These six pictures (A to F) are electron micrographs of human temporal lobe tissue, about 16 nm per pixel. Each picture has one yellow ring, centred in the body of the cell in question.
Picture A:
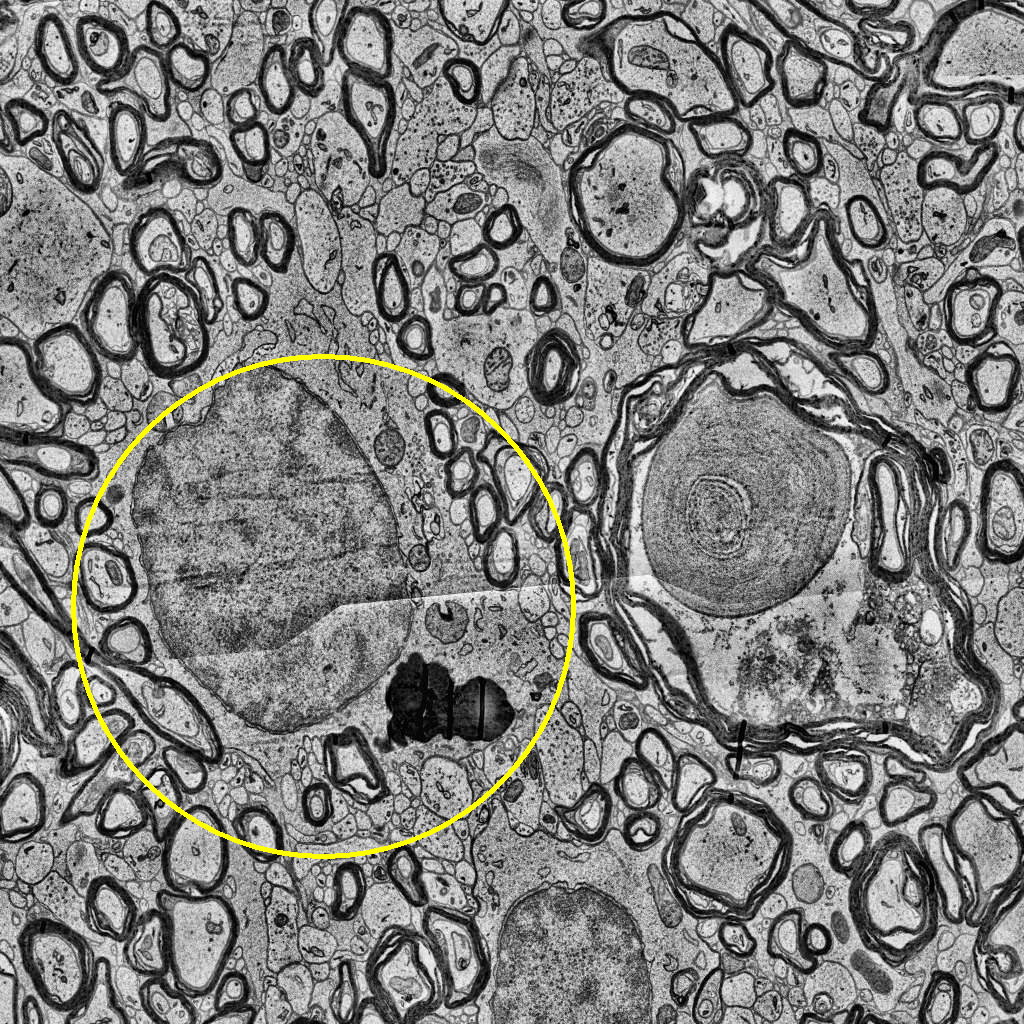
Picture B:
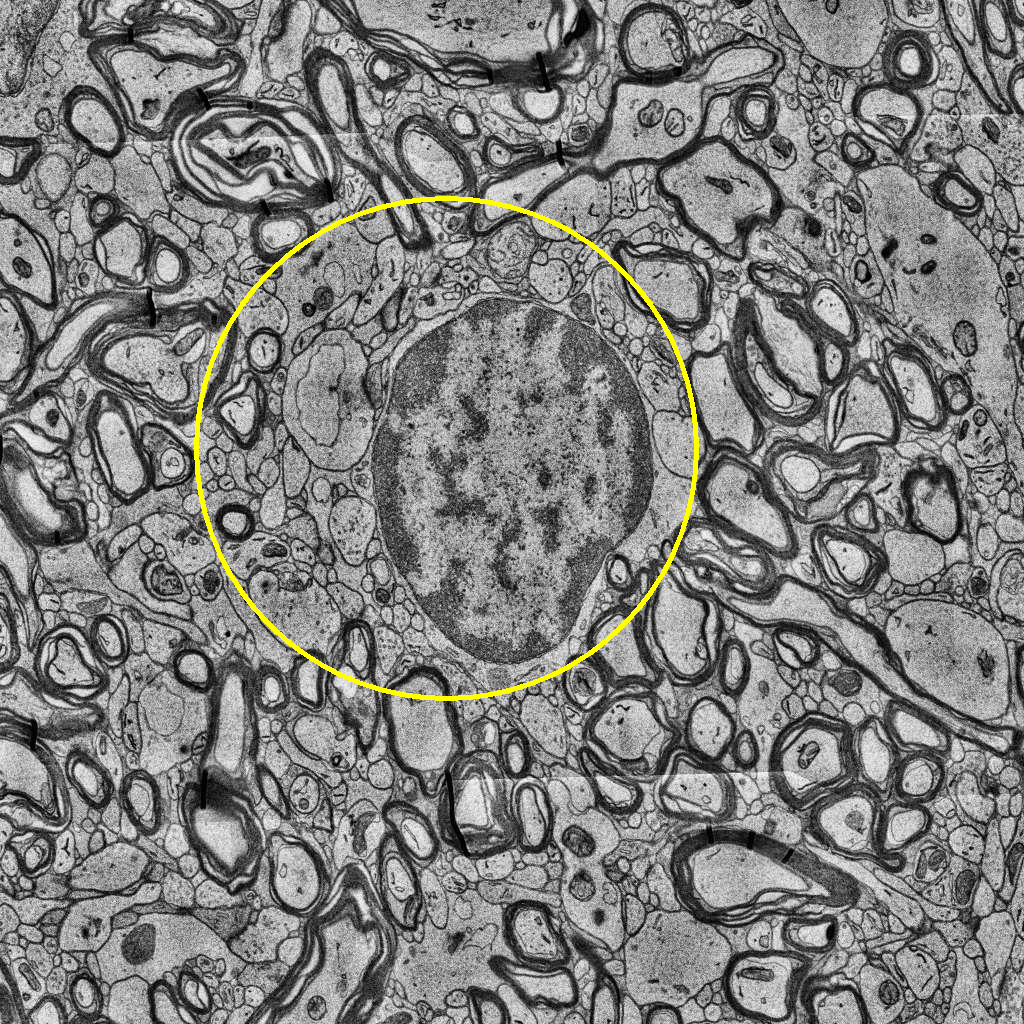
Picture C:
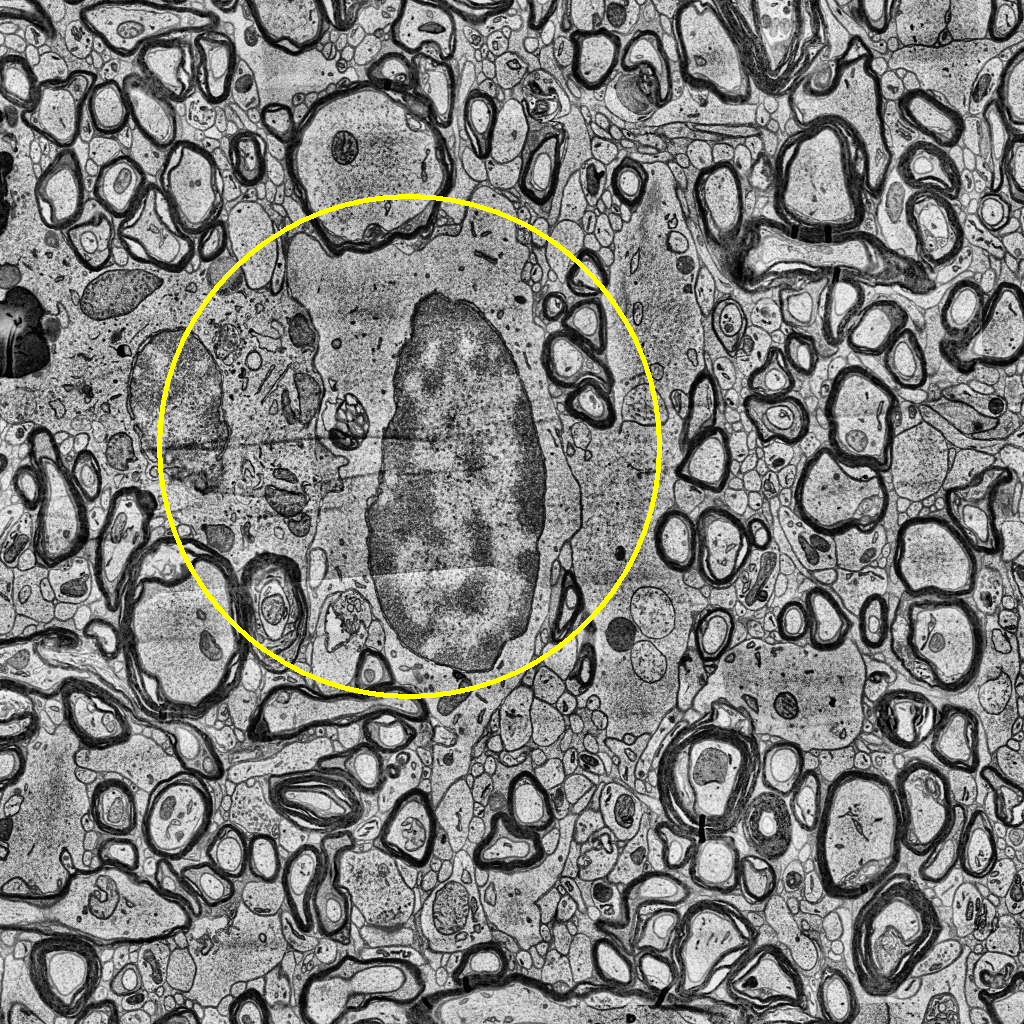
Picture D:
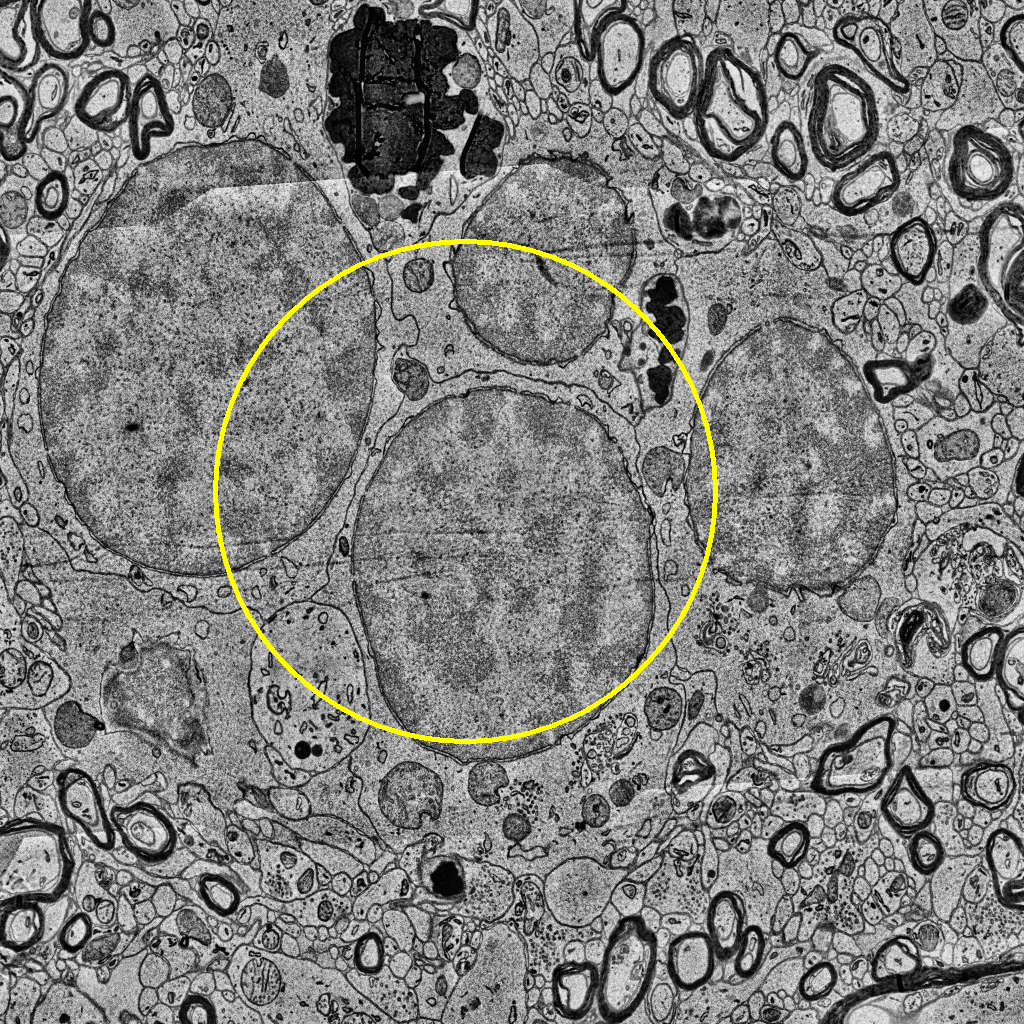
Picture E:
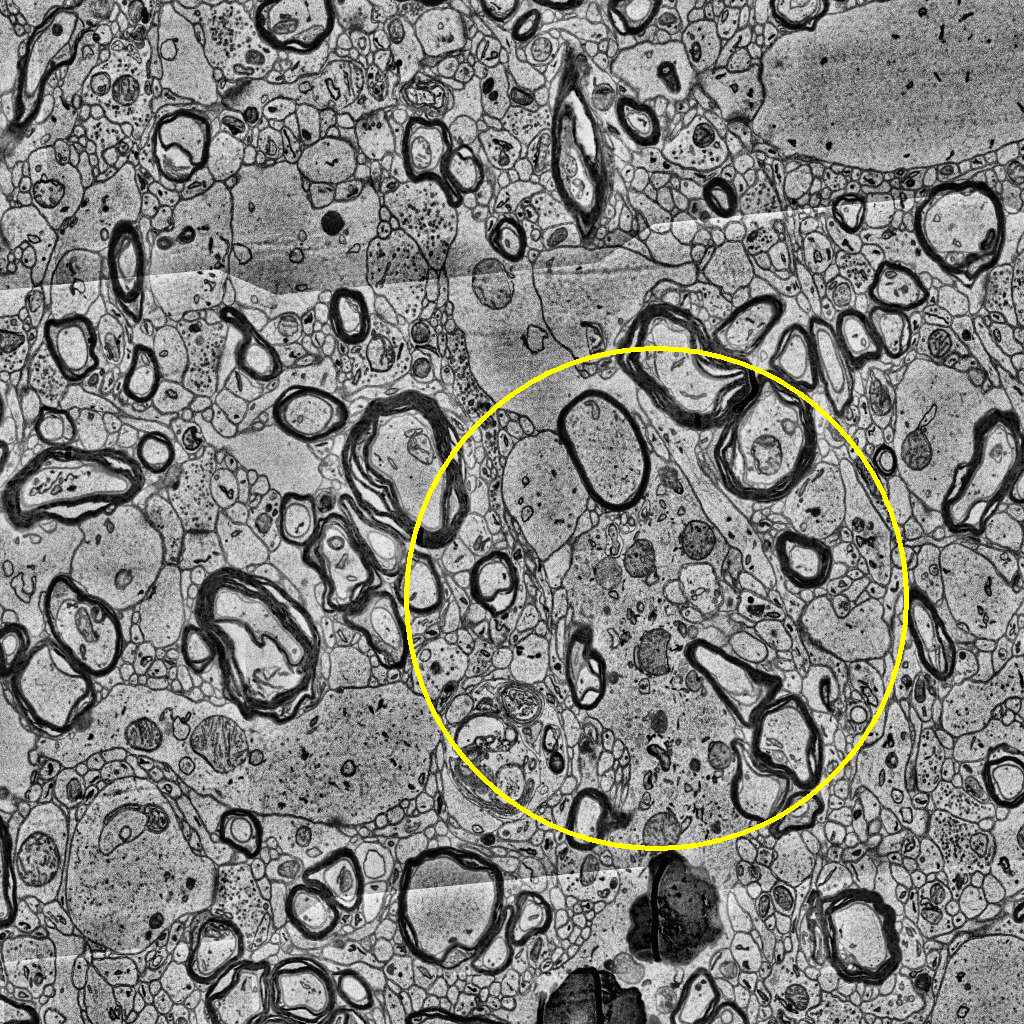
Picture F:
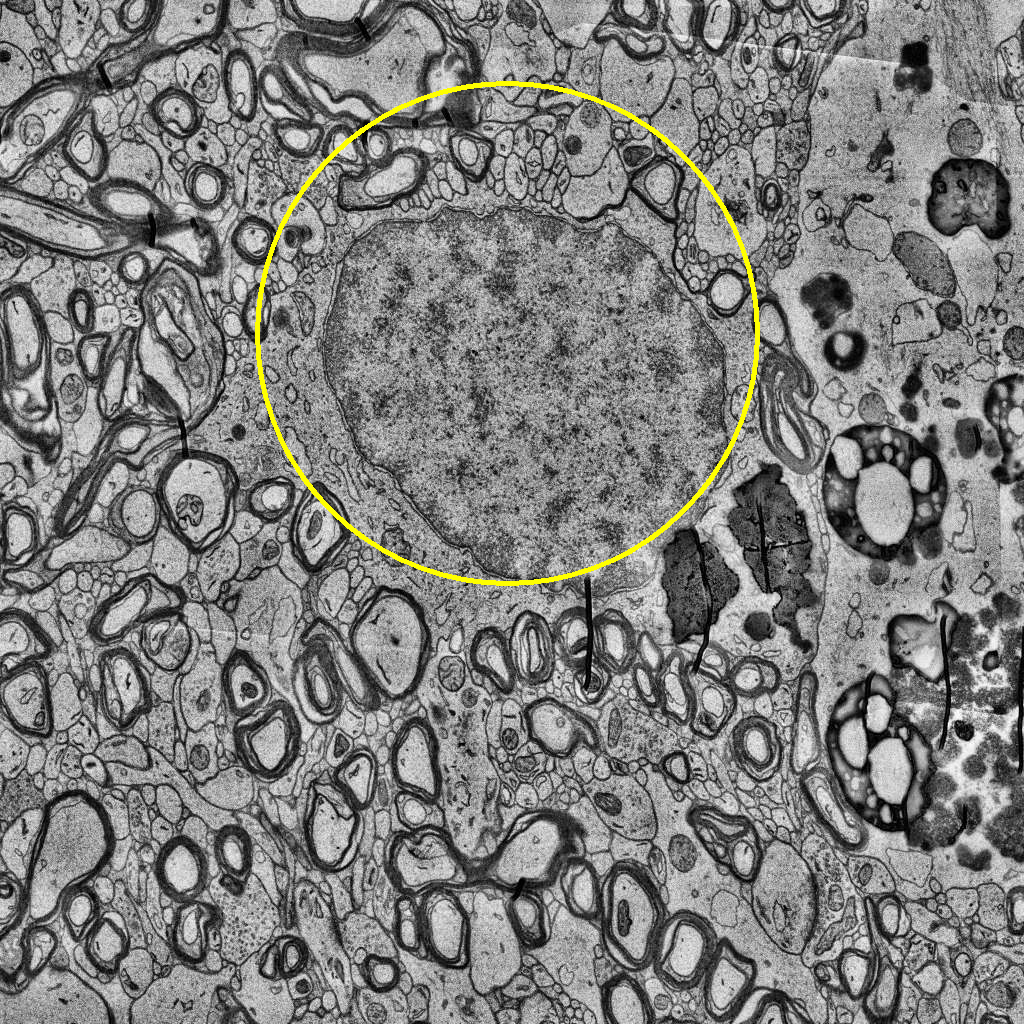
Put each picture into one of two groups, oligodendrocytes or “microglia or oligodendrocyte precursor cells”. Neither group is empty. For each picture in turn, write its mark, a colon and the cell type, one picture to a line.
A: oligodendrocyte
B: microglia or oligodendrocyte precursor cell
C: microglia or oligodendrocyte precursor cell
D: oligodendrocyte
E: oligodendrocyte
F: oligodendrocyte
